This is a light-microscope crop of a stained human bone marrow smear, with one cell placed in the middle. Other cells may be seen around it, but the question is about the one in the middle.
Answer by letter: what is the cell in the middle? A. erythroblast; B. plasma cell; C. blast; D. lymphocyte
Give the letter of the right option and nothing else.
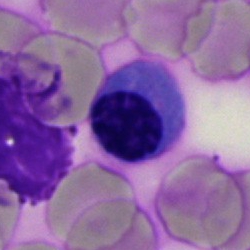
A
